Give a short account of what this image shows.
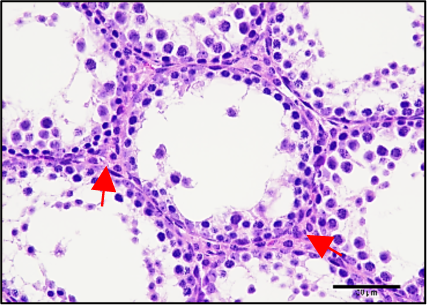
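Seminiferous tubules of the testis are cut in cross section, each lined by several layers of germ cells with round purple nuclei around an open lumen. Between neighbouring tubules lie small interstitial spaces holding Leydig cells with pink cytoplasm, pointed to by the red arrows.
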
